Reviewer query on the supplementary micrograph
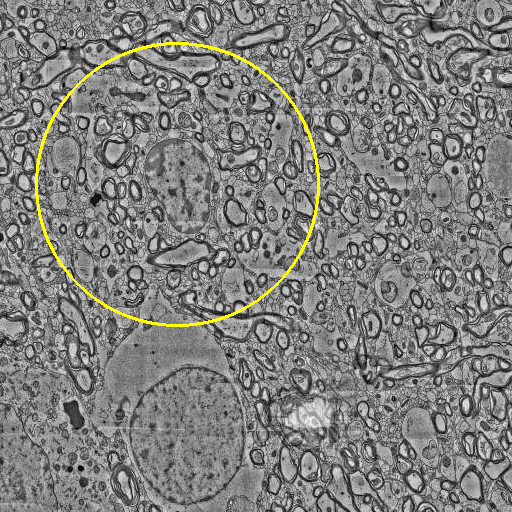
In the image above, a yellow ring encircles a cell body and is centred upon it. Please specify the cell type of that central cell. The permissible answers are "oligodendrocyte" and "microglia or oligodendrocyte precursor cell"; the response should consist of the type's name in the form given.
microglia or oligodendrocyte precursor cell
